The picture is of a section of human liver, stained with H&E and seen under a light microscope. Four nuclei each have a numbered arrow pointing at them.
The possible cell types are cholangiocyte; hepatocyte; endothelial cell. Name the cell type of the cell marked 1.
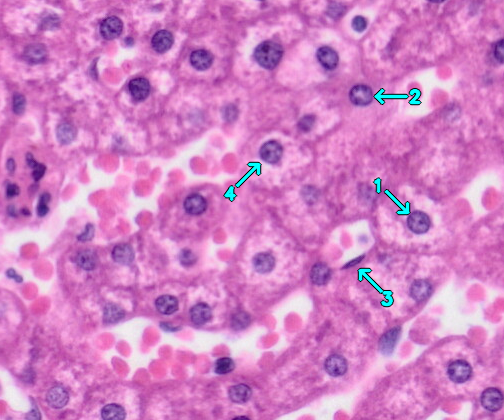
hepatocyte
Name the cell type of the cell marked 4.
hepatocyte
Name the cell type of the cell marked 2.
hepatocyte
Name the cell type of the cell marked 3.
endothelial cell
